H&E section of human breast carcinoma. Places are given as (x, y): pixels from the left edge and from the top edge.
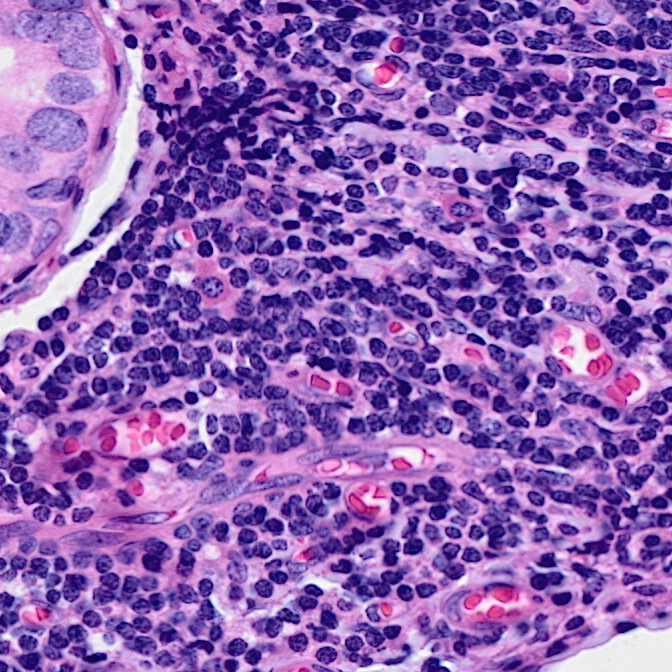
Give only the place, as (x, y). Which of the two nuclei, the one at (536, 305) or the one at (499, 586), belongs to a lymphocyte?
(536, 305)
